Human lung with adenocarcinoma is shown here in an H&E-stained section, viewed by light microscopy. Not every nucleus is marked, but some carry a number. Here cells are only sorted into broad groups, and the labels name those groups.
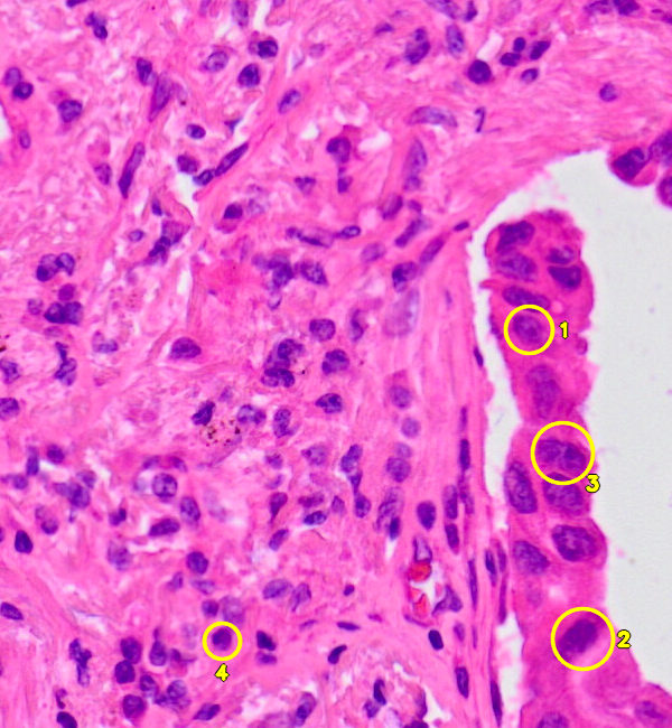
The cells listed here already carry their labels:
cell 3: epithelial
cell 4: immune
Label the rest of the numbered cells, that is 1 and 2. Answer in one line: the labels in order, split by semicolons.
epithelial; epithelial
